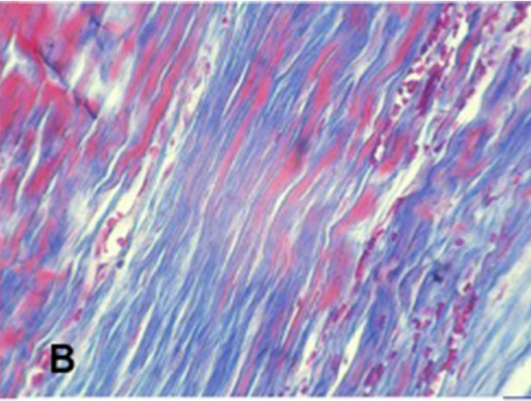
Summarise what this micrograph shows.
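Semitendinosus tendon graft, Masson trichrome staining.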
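The collagen bundles run in long, parallel strands diagonally from lower left to upper right, separated by thin white clefts. Interspersed among the blue bundles are elongated red-pink streaks that follow the same direction, so the whole tissue has a striped, combed appearance. The consistent alignment of the bundles along one axis is the main feature to notice here.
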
